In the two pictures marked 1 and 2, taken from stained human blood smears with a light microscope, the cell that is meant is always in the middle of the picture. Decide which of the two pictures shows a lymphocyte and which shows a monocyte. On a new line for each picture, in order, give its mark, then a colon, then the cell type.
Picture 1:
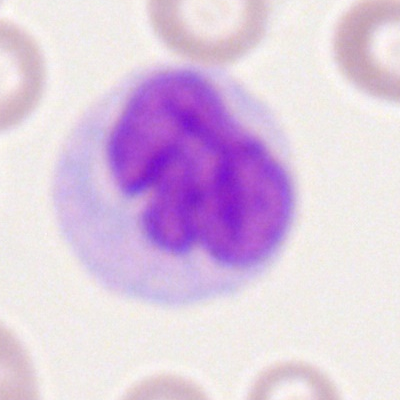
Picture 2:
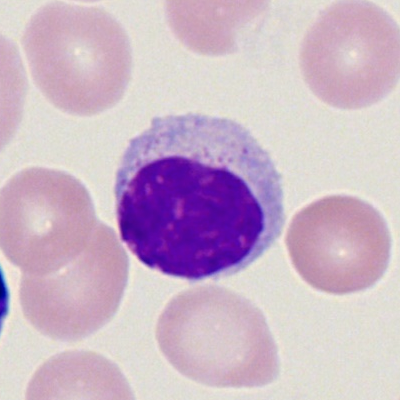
1: monocyte
2: lymphocyte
